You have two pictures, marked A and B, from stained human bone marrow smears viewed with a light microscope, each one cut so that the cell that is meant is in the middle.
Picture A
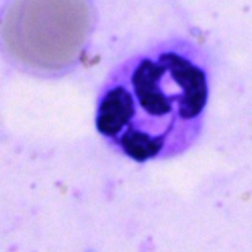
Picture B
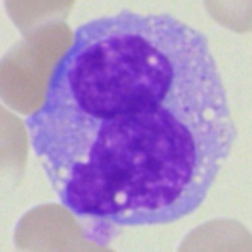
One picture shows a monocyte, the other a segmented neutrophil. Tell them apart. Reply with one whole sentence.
It is picture A that shows a segmented neutrophil, and picture B that shows a monocyte.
